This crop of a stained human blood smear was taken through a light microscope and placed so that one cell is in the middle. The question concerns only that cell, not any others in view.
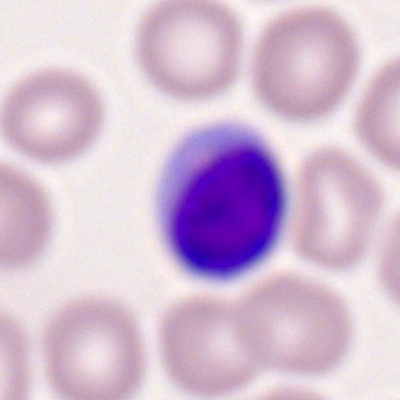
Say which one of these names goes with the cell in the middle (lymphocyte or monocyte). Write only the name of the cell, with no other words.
lymphocyte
